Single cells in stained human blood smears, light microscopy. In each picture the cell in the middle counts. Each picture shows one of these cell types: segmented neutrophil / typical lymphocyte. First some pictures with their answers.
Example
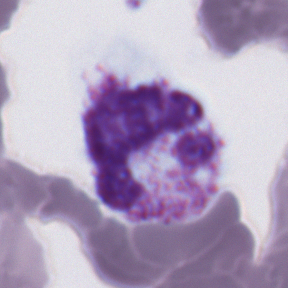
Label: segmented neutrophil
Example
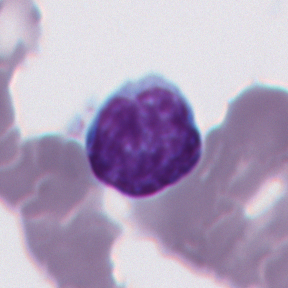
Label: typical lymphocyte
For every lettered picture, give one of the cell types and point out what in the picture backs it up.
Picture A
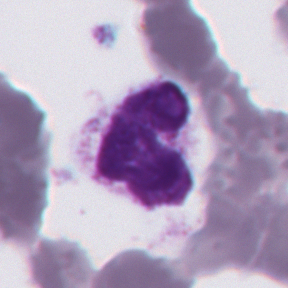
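segmented neutrophil. The cytoplasm is very pale, almost colourless.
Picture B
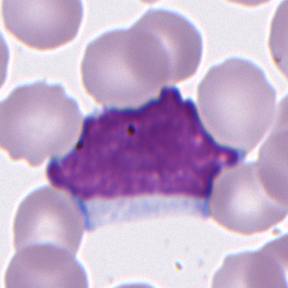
typical lymphocyte. The cytoplasm forms only a narrow band along the lower edge of the cell.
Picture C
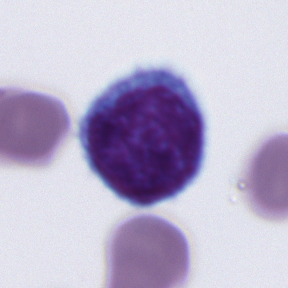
typical lymphocyte. The cytoplasm forms only a thin rim around the nucleus.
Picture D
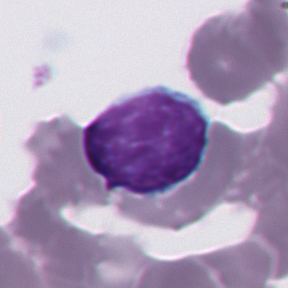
typical lymphocyte. The cytoplasm is only a very thin rim around the nucleus.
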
